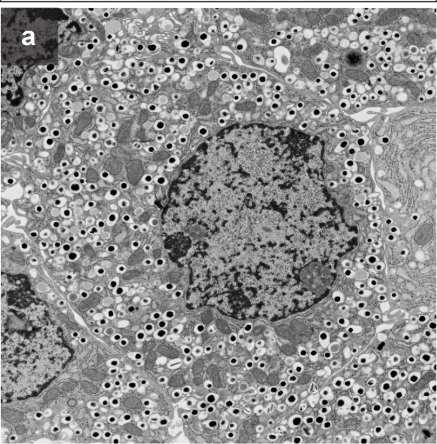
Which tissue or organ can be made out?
islets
